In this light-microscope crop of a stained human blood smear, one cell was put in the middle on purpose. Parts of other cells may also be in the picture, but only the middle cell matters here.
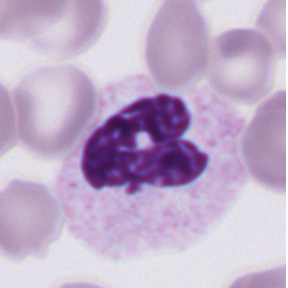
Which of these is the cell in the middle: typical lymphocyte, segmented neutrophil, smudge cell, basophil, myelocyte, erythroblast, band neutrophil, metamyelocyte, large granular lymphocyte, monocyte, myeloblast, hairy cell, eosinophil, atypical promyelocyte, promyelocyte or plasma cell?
segmented neutrophil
